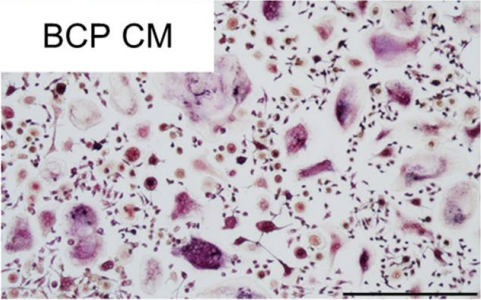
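This is a cell culture seen from above, with a mix of small round cells and scattered very large, flattened cells. The large cells stain strongly purple to magenta and are many times the size of their neighbours, some with irregular or spread outlines and several nuclei inside. Between them lie numerous small round or spindle-shaped cells with dark nuclei and only faint staining. Some large cells are pale with a purple rim while others are densely stained throughout.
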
